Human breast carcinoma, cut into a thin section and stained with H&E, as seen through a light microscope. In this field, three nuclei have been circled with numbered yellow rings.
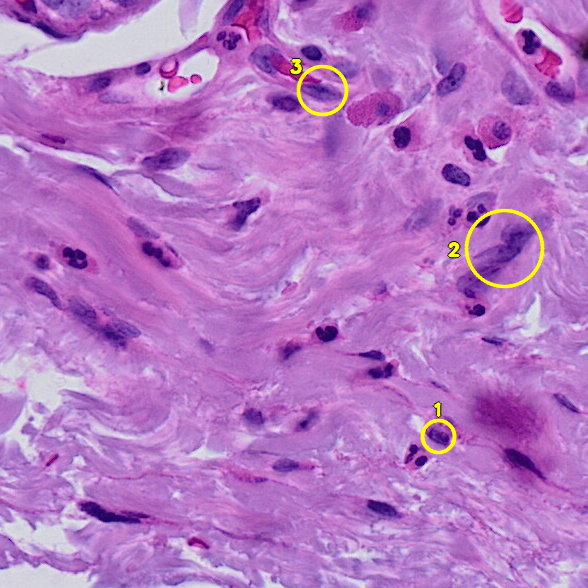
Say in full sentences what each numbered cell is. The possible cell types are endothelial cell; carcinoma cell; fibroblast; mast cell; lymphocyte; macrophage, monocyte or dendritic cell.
Cell 1 is a fibroblast, cell 2 is a fibroblast and cell 3 is an endothelial cell.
